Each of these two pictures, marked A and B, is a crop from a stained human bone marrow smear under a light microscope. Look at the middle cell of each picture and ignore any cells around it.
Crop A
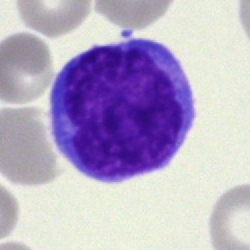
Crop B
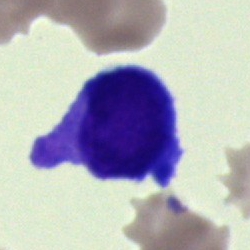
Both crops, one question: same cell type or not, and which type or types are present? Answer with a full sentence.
Yes, the middle cells in both crops are indeed blasts.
